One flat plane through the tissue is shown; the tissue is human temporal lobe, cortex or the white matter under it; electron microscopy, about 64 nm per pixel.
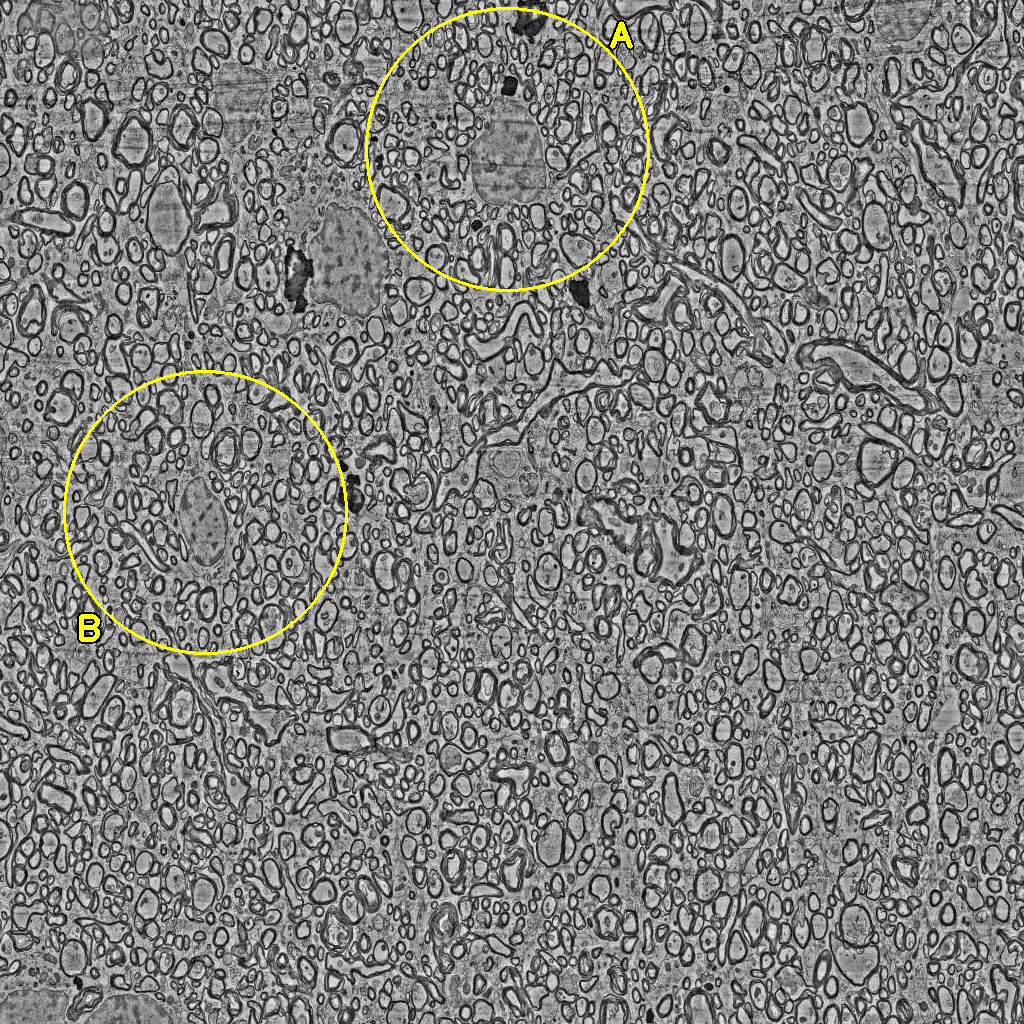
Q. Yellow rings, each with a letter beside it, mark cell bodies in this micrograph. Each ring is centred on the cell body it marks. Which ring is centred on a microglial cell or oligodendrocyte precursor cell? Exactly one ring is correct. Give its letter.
B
